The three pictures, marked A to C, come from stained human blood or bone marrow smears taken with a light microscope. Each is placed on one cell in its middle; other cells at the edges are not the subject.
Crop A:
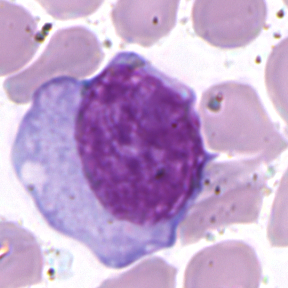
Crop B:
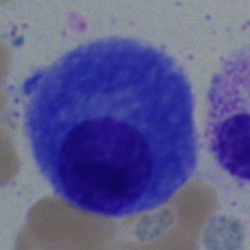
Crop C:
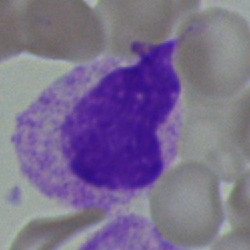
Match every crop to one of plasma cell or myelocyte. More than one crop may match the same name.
A: plasma cell
B: plasma cell
C: myelocyte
